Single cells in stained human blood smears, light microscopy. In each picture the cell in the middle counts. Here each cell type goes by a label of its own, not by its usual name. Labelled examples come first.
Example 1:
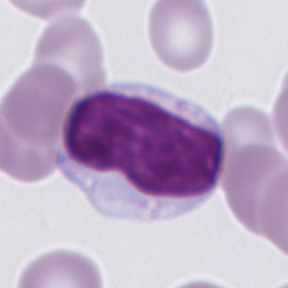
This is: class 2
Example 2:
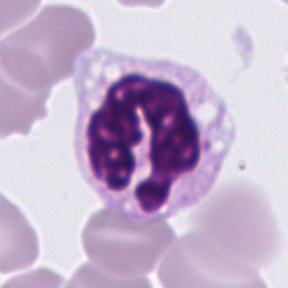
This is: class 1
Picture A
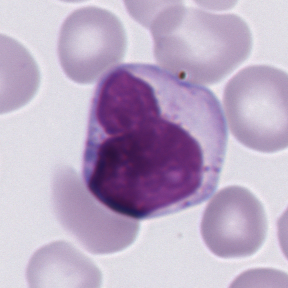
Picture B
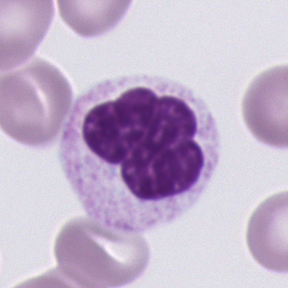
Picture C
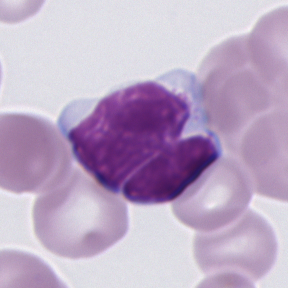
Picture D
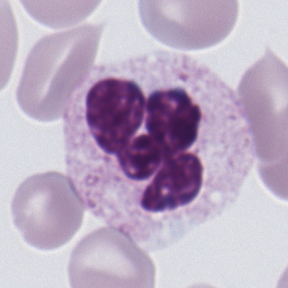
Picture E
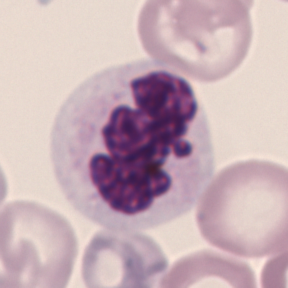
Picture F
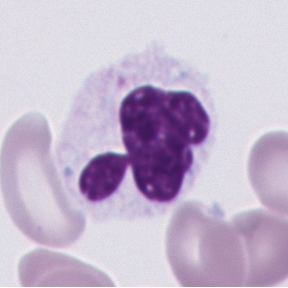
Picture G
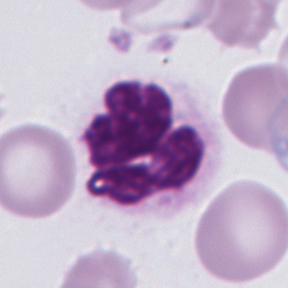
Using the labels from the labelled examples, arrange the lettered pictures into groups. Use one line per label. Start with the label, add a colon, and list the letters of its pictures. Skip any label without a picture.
class 2: A, C
class 1: B, D, E, F, G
